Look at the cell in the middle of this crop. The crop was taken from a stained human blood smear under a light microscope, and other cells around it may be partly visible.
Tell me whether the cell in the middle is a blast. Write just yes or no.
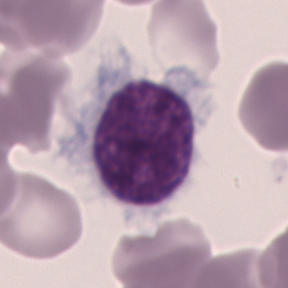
no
